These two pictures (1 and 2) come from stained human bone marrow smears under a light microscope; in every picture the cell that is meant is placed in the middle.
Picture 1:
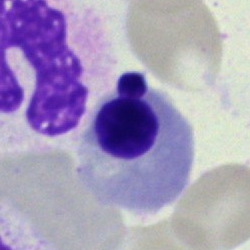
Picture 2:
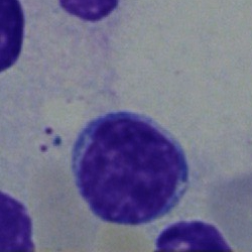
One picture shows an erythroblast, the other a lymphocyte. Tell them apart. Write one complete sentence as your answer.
It is picture 1 that shows an erythroblast, and picture 2 that shows a lymphocyte.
